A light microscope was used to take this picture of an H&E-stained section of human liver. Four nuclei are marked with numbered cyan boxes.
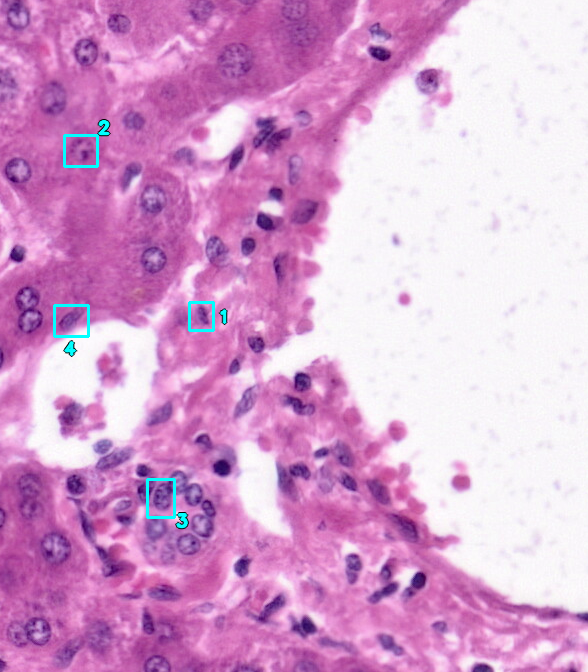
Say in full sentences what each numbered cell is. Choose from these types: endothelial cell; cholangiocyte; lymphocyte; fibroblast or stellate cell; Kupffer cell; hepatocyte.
Cells 1 and 4 are fibroblasts or stellate cells. Cell 2 is a hepatocyte. Cell 3 is a cholangiocyte.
